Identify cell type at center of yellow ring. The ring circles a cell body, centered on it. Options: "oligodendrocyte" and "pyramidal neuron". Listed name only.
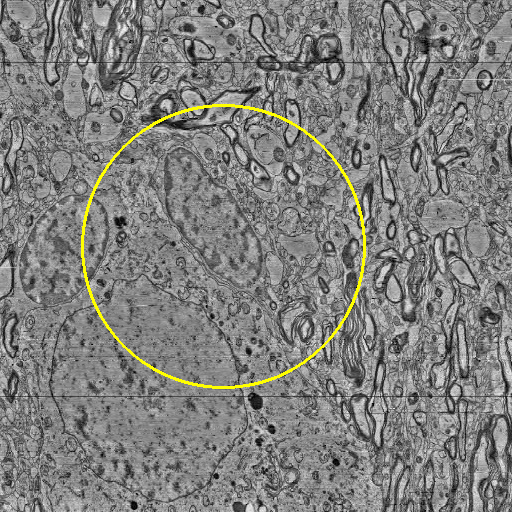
oligodendrocyte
